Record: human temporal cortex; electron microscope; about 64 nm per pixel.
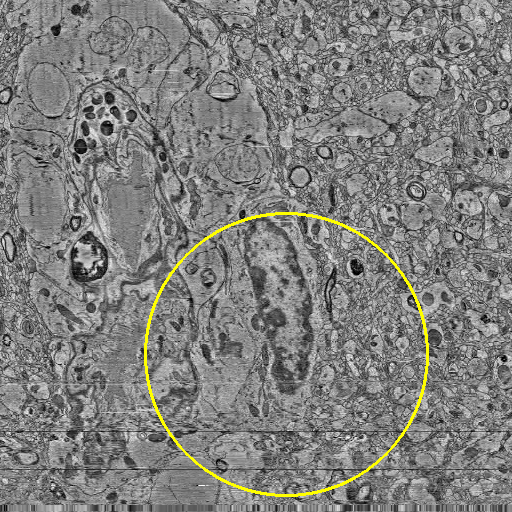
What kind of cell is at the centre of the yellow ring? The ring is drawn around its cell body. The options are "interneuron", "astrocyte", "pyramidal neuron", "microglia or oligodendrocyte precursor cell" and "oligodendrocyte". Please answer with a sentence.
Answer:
The yellow ring marks the cell body of a microglial cell or oligodendrocyte precursor cell.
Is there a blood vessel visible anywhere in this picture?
Yes, one appears.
